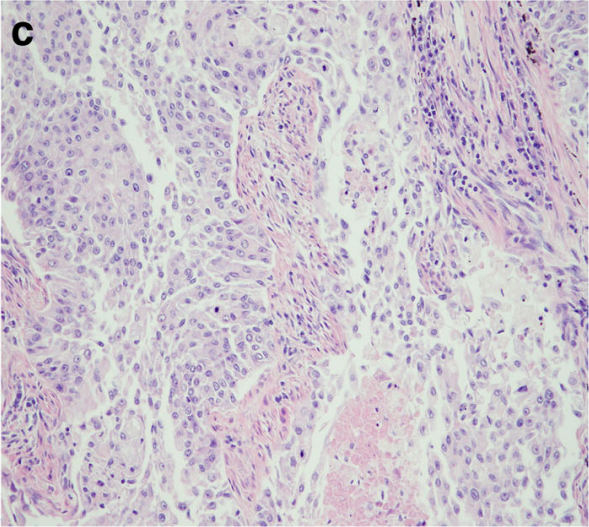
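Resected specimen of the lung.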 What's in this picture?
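This field shows carcinoma growing as nests, cords and sheets of polygonal epithelial cells within fibrous stroma. The tumor cells have moderate amounts of pale pink cytoplasm and round to oval, somewhat enlarged nuclei, many with visible nucleoli. The nests are separated by bands of pink collagenous stroma containing elongated spindle-shaped cells. Denser clusters of small dark lymphocyte-like nuclei lie in the stroma at the upper right. A pink area of red blood cells is seen in the lower middle of the field.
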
